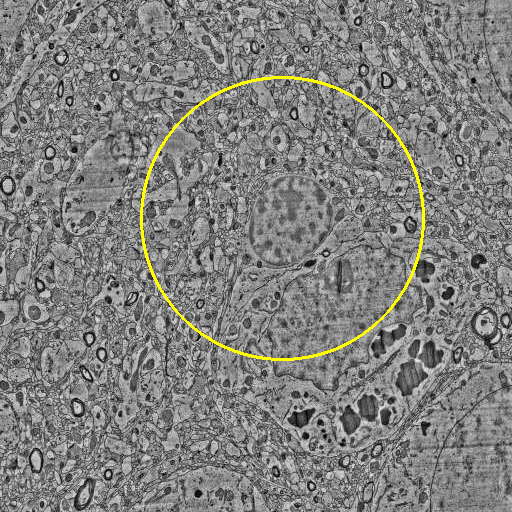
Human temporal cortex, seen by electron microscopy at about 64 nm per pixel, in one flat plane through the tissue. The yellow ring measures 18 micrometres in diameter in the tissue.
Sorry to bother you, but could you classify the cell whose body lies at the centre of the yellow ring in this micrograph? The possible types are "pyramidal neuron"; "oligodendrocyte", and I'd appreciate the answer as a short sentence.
The ringed cell body is that of an oligodendrocyte.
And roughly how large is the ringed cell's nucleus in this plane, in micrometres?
Roughly 6 by 5 micrometres is the size of the nucleus in this plane.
